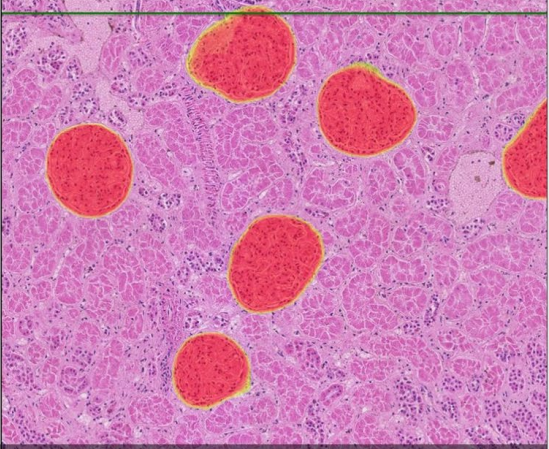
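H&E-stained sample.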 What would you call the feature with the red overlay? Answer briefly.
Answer: Glomeruli.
